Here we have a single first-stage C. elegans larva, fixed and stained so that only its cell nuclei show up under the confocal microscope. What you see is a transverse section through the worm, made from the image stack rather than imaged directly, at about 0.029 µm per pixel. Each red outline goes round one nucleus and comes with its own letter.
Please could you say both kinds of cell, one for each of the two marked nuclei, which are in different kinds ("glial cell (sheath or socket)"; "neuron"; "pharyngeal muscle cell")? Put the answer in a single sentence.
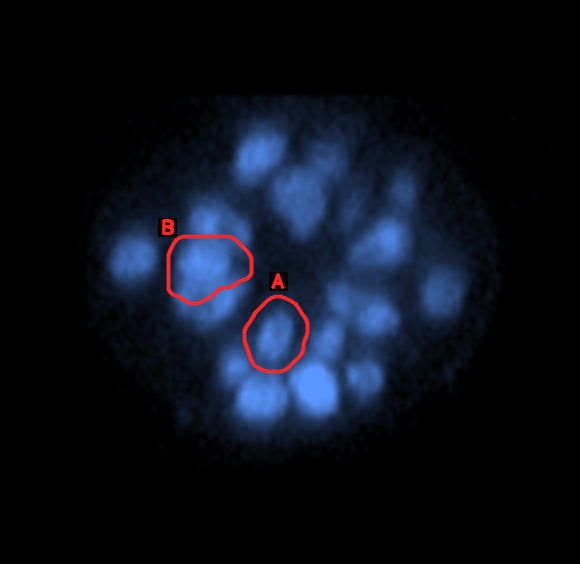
The nucleus A is that of a pharyngeal muscle cell, while B is that of a neuron.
